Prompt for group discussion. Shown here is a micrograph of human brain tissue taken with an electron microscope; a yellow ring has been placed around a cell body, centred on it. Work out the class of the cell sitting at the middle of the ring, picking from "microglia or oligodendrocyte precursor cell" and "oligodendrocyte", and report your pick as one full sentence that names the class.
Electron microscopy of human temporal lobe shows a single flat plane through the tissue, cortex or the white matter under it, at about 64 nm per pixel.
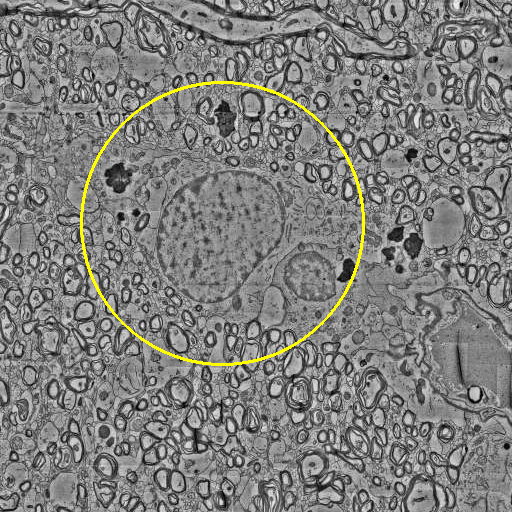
The cell sitting at the middle of the yellow ring is a microglial cell or oligodendrocyte precursor cell.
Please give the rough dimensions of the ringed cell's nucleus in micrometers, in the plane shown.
Roughly 9 by 7 micrometres is the size of the nucleus in this plane.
